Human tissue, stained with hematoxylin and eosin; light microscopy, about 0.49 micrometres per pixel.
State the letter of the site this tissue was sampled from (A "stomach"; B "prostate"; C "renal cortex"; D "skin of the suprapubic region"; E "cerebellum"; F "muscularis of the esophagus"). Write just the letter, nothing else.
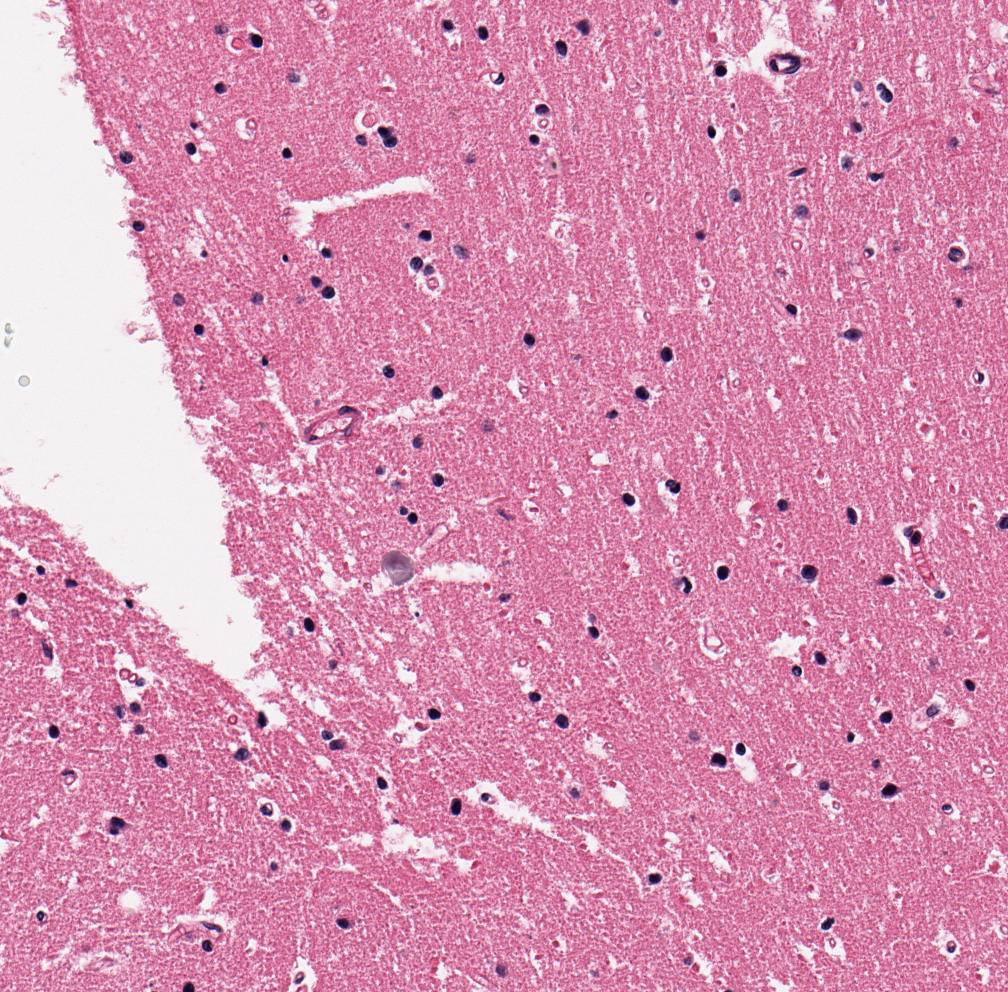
E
